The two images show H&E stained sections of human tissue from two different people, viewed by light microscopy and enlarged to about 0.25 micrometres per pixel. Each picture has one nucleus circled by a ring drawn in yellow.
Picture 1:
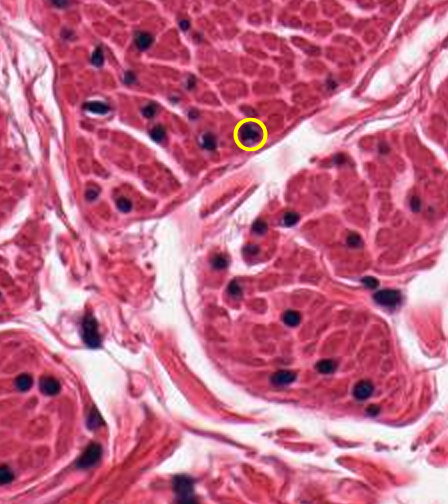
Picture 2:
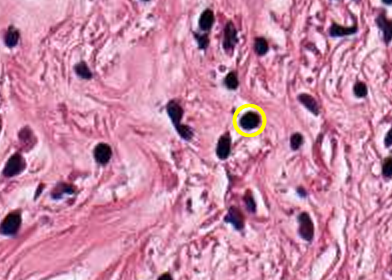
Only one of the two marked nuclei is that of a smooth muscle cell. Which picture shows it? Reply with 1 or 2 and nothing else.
1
